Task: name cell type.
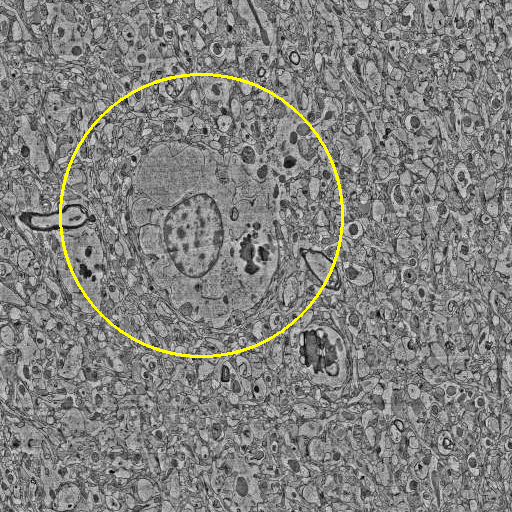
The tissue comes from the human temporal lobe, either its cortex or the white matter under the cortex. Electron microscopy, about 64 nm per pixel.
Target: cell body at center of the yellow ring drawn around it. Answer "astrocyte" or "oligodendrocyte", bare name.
astrocyte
